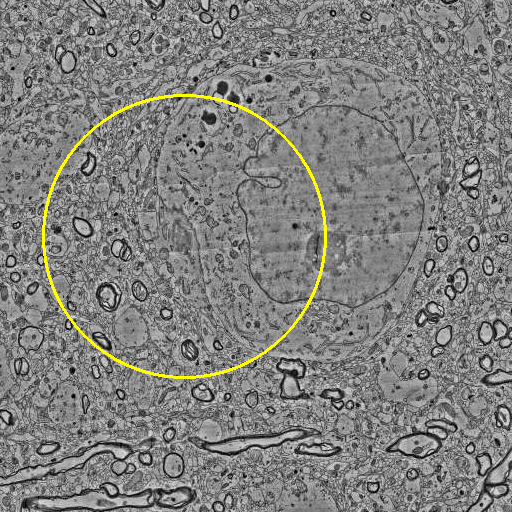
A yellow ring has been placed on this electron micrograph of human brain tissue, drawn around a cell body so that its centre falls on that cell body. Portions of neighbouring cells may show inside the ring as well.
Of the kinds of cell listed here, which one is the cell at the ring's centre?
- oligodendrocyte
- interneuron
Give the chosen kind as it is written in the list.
oligodendrocyte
